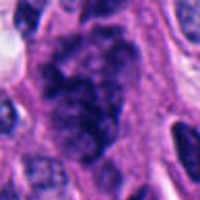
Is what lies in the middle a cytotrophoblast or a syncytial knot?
It is a syncytial knot.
